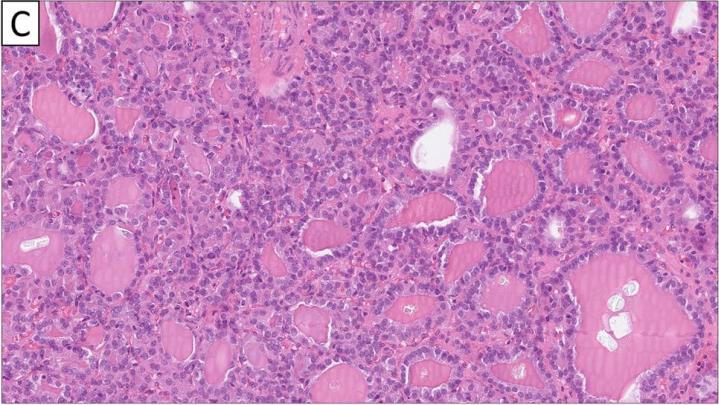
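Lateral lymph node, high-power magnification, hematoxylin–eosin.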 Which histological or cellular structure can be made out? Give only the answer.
Microfollicular growth pattern.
